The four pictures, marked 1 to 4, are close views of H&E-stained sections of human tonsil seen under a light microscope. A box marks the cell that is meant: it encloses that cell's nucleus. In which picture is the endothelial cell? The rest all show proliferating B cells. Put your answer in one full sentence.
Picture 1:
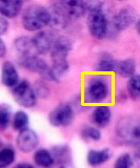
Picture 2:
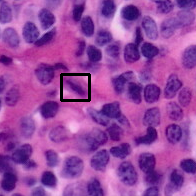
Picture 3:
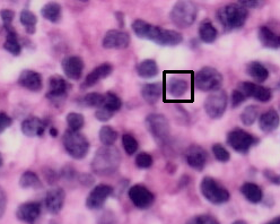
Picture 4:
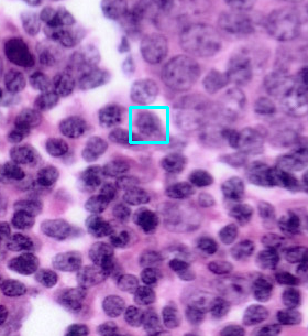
Picture 2 is the one that shows the endothelial cell.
